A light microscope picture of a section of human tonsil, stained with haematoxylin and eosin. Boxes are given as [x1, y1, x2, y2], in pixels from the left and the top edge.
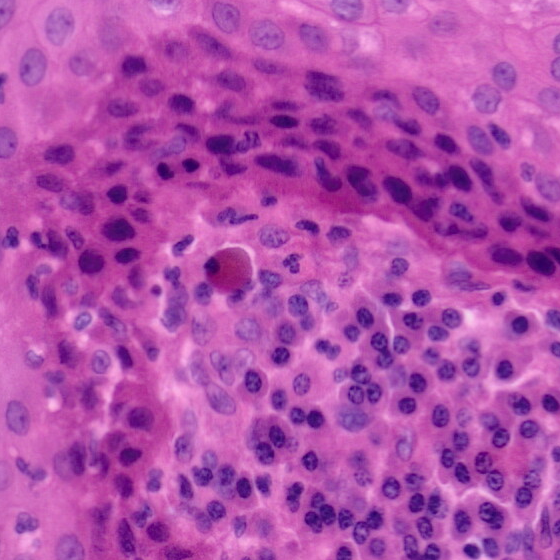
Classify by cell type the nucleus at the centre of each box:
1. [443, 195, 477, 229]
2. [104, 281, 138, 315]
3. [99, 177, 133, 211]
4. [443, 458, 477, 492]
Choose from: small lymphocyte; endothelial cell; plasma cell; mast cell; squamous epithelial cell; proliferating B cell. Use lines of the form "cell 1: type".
cell 1: squamous epithelial cell
cell 2: squamous epithelial cell
cell 3: squamous epithelial cell
cell 4: plasma cell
